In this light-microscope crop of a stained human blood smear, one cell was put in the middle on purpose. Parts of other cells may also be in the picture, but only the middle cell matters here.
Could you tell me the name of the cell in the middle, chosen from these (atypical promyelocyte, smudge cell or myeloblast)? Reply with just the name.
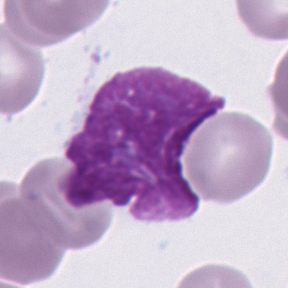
smudge cell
